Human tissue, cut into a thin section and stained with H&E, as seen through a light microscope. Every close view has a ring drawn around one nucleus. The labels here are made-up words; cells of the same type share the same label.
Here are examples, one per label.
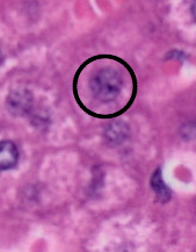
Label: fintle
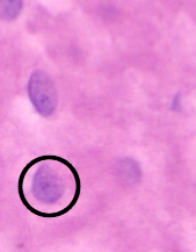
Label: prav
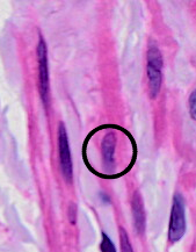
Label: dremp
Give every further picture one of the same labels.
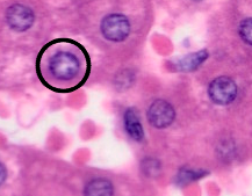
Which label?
fintle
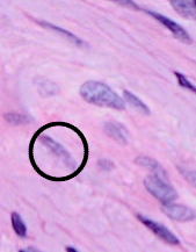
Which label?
dremp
